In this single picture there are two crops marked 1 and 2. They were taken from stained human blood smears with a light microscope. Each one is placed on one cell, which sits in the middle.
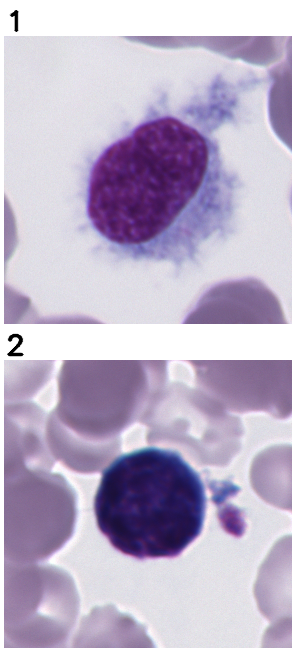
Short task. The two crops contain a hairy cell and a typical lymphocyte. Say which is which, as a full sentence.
Crop 1 corresponds to a hairy cell, and crop 2 corresponds to a typical lymphocyte.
